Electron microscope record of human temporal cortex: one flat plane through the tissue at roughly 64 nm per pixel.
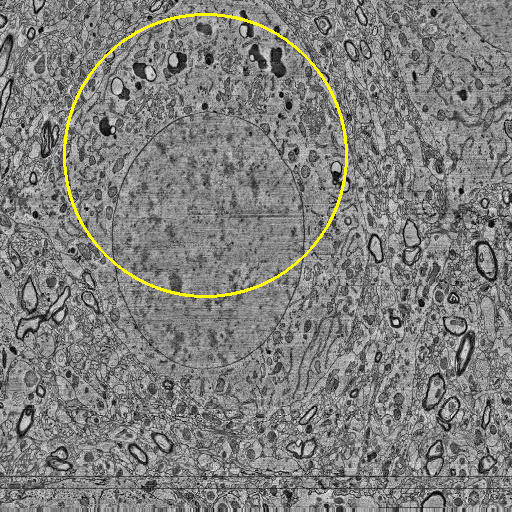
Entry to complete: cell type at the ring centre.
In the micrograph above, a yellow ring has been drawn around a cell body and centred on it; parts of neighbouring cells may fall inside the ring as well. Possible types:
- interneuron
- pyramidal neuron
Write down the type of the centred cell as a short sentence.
The ring is centred on a pyramidal neuron.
